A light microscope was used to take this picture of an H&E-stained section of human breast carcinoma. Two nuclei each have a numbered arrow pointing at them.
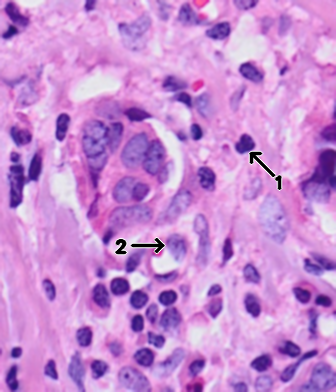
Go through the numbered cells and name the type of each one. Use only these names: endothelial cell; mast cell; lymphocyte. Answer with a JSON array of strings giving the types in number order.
["lymphocyte", "endothelial cell"]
